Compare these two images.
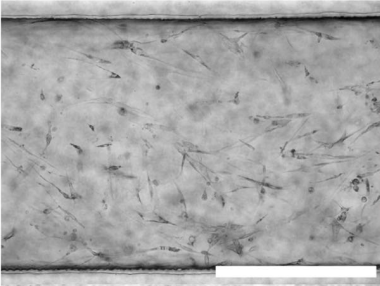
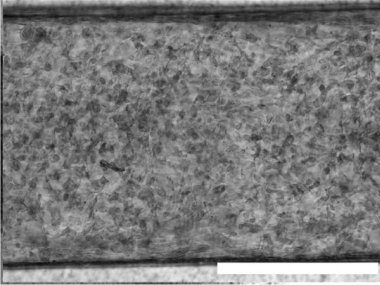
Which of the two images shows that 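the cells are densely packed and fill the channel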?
The second image.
